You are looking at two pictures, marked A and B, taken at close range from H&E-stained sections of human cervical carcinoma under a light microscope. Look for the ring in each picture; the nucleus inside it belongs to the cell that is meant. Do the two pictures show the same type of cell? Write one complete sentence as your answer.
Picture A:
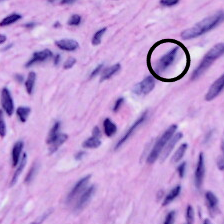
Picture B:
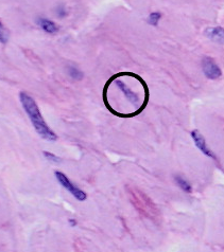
Yes, both cells are fibroblasts.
